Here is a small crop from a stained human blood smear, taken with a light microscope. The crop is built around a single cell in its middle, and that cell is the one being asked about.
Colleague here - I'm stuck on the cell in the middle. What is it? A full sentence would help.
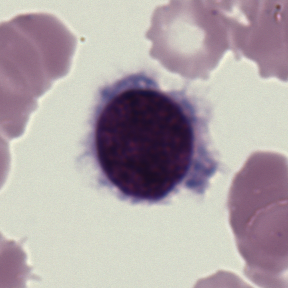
What sits at the centre of this crop is a hairy cell.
